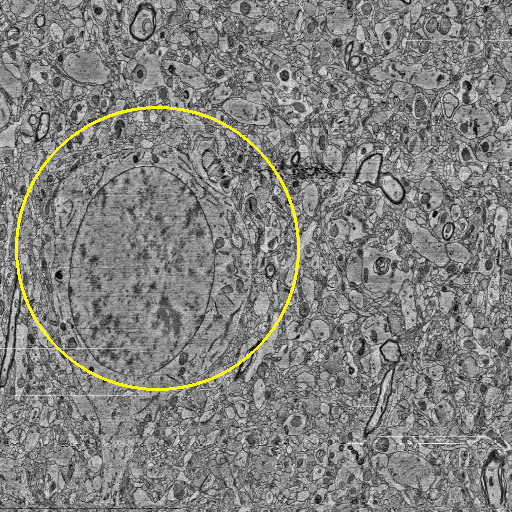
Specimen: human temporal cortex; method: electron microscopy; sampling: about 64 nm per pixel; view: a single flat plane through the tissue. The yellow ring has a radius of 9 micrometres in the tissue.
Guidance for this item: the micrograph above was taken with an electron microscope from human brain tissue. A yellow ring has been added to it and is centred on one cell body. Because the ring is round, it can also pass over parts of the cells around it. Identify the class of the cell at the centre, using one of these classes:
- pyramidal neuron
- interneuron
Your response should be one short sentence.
The ring surrounds the body of a pyramidal neuron.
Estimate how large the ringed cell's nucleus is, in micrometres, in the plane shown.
About 14 by 9 micrometers; the nucleus is clearly longer than it is wide in this plane.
